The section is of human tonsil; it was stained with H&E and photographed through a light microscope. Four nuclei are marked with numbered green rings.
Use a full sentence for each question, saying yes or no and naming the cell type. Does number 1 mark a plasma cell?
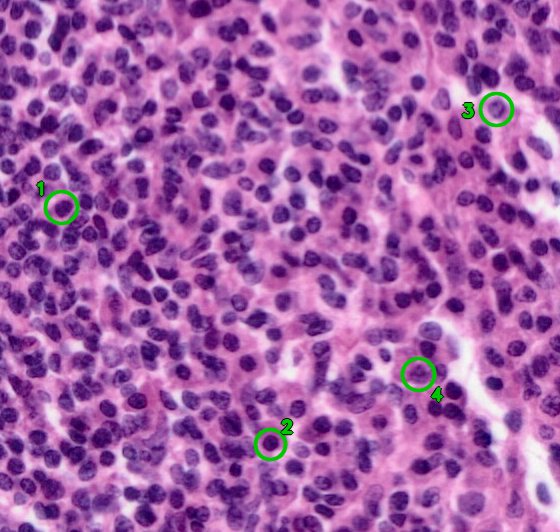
No, number 1 points to a small lymphocyte and not to a plasma cell.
